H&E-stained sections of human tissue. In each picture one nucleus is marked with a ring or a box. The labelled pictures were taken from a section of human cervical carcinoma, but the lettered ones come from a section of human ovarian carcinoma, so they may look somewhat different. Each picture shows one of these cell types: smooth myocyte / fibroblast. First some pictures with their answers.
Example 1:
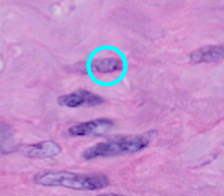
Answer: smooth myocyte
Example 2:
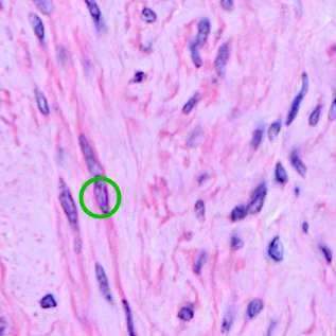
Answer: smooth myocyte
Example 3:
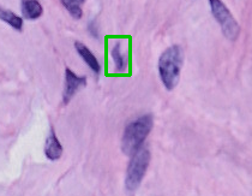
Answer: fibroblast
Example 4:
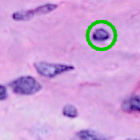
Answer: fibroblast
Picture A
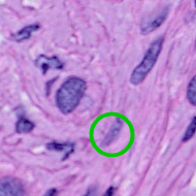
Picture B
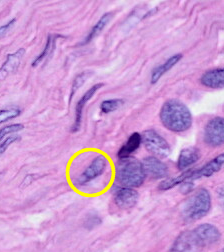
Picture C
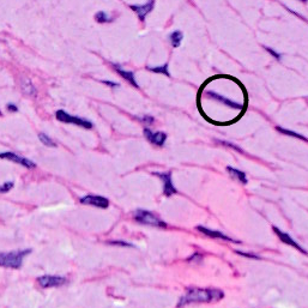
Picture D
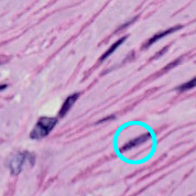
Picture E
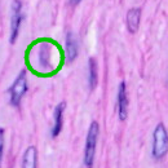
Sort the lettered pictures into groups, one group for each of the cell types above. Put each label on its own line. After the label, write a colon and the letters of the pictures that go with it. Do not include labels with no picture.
fibroblast: A, B, C, D, E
